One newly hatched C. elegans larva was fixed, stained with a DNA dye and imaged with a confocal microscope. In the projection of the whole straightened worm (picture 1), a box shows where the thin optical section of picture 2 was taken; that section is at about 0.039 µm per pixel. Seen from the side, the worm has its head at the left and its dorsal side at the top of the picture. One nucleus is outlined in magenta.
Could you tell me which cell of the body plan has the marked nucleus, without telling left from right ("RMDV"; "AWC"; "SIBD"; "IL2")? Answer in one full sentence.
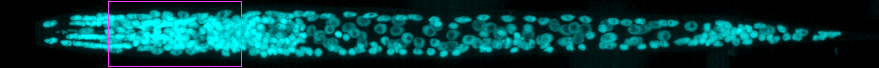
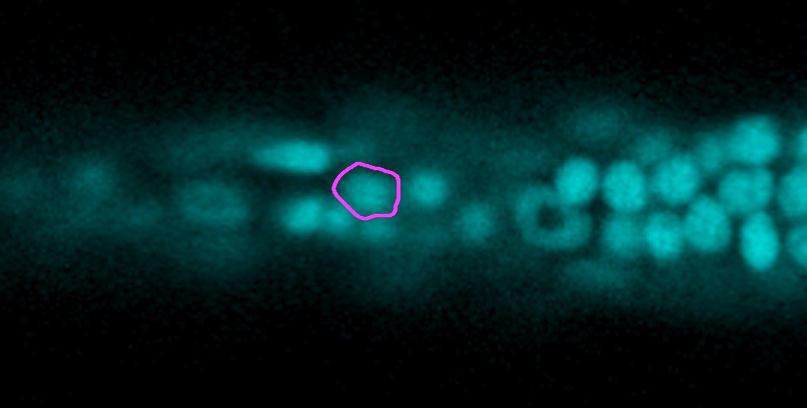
The marked nucleus is that of IL2, a neuron.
